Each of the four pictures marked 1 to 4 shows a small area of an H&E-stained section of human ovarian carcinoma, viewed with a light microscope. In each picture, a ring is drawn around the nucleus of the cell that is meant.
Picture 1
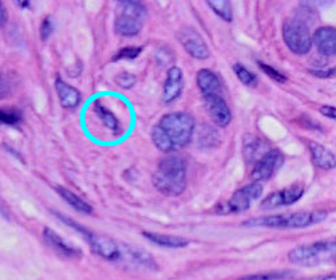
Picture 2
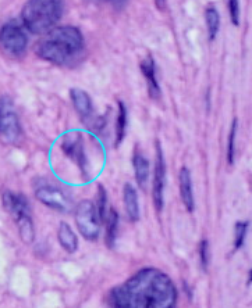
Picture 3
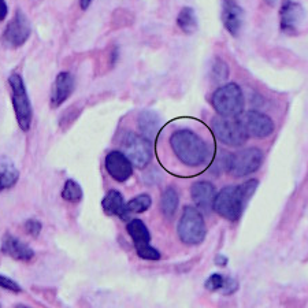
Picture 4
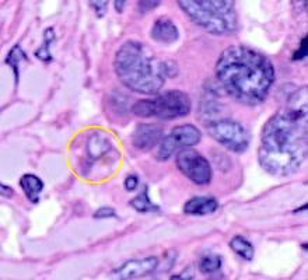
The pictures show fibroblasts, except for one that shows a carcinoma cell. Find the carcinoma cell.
3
